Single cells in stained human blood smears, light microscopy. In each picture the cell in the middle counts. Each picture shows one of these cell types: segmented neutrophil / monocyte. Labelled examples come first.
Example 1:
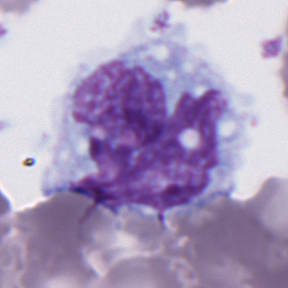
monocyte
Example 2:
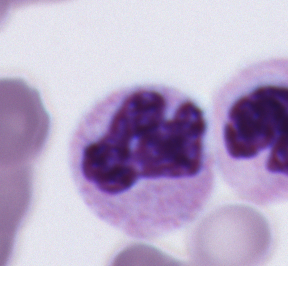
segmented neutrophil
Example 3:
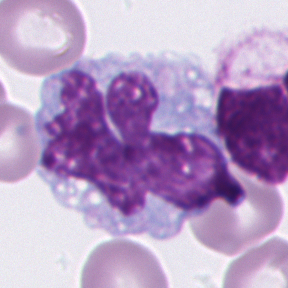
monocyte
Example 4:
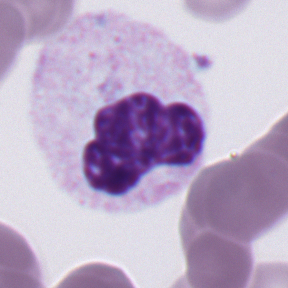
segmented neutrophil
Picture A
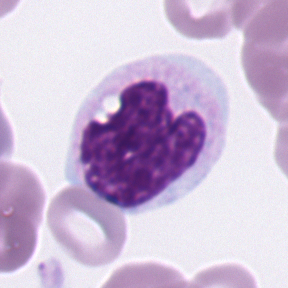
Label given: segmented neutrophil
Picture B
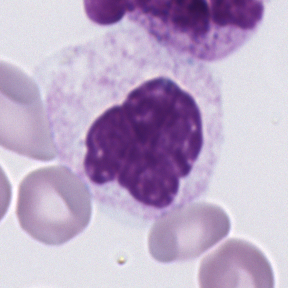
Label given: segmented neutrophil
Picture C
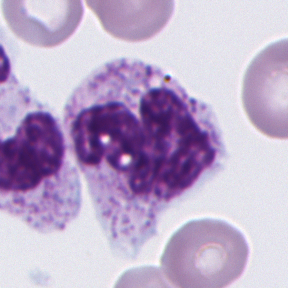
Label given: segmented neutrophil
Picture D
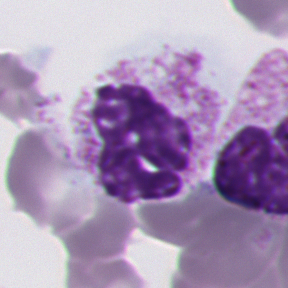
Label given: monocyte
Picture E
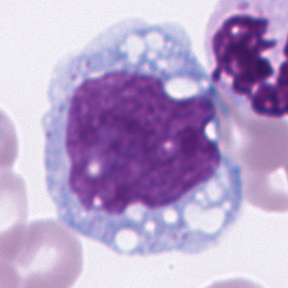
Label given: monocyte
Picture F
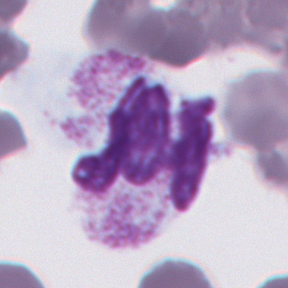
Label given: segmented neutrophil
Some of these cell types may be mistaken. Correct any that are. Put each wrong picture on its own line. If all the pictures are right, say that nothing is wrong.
D: segmented neutrophil, not monocyte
